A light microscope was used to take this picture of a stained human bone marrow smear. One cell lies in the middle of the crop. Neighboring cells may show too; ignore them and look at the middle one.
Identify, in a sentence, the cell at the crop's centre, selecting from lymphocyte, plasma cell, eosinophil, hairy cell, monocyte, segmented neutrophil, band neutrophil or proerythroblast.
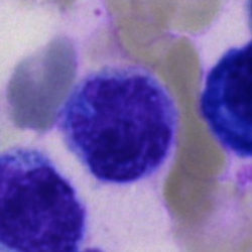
Here the cell in the middle is a monocyte.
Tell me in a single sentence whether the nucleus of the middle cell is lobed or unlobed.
Key feature: a single compact nucleus, round, oval or kidney-shaped.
